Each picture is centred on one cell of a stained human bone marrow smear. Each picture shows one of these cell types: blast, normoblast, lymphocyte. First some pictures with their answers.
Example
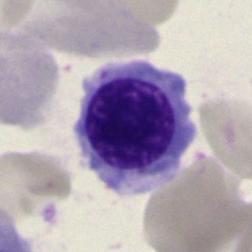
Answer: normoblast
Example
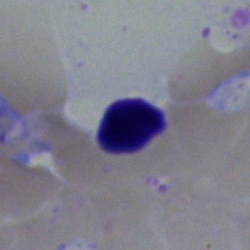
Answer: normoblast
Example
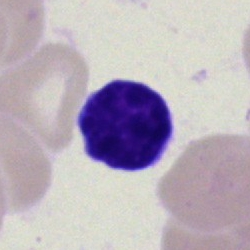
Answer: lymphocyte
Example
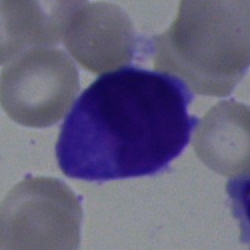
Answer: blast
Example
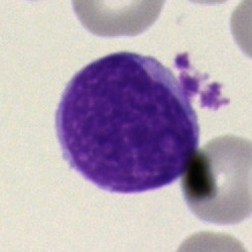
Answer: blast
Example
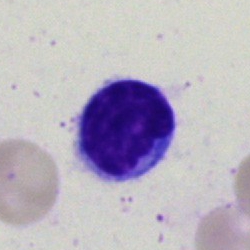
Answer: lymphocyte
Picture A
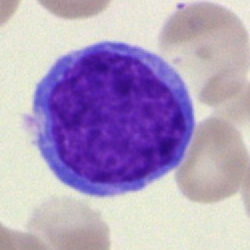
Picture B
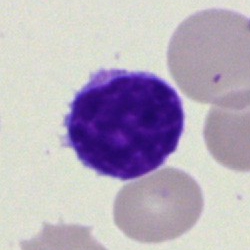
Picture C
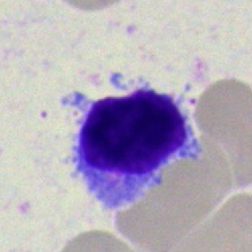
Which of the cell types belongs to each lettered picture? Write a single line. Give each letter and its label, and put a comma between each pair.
A blast, B lymphocyte, C lymphocyte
